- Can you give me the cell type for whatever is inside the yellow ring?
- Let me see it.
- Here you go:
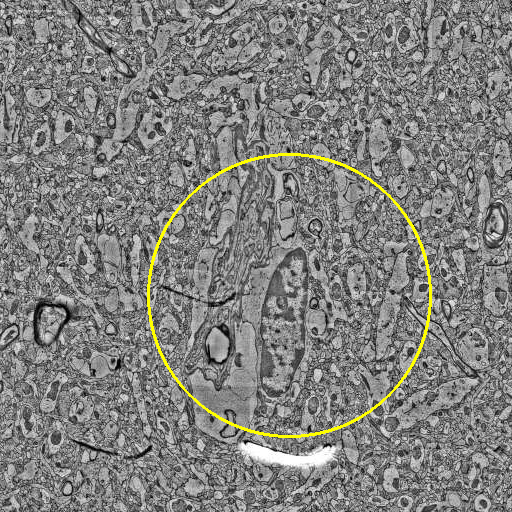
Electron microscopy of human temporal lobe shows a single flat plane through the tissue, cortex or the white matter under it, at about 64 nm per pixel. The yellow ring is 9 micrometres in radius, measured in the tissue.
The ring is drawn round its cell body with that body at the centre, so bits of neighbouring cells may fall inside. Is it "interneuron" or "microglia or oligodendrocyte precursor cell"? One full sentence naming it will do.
The cell body in the middle of the ring in this picture belongs to a microglial cell or oligodendrocyte precursor cell.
